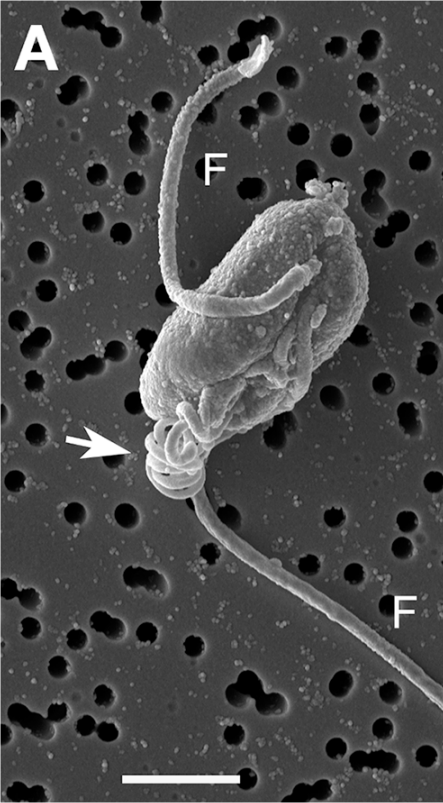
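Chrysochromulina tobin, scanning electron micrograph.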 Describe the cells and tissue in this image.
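A single small oval cell lies on a porous filter, its surface lumpy and uneven. Two long, thin whip-like threads arise from the cell, one curving up and back over the cell body and one trailing downward. Near the lower end of the cell a further thin appendage is wound into a tight coil of several loops. This is a single-celled flagellate alga with two flagella and a coiled haptonema.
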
